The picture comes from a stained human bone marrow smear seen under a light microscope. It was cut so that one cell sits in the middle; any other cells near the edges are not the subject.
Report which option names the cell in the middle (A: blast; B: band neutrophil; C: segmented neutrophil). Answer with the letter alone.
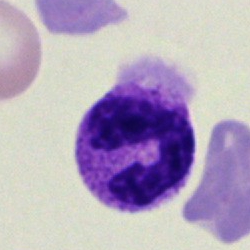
C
